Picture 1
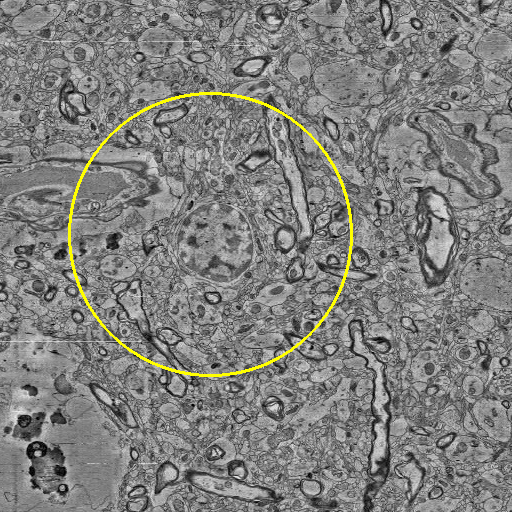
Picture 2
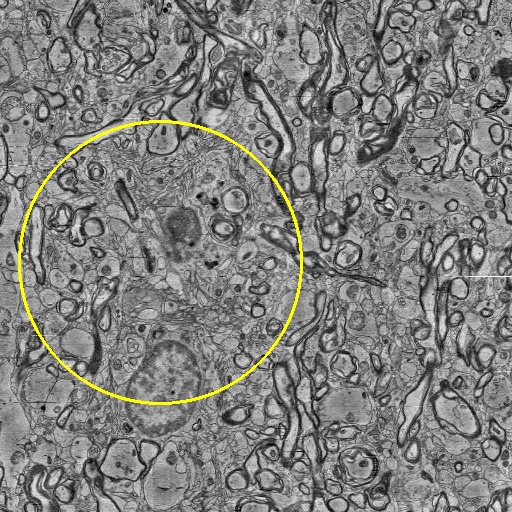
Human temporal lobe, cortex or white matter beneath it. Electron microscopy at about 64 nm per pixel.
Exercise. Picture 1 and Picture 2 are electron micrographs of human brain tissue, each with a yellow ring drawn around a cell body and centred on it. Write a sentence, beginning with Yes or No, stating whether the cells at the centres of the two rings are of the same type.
Yes, the cells at the centres of both rings are of the same type.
